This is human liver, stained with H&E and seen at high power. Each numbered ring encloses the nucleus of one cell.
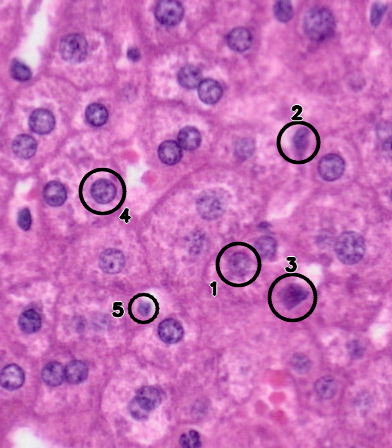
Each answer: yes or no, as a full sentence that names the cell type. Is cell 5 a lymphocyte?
Yes, the cell whose nucleus carries number 5 is a lymphocyte.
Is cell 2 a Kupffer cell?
Yes, the marked cell numbered 2 is a Kupffer cell.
